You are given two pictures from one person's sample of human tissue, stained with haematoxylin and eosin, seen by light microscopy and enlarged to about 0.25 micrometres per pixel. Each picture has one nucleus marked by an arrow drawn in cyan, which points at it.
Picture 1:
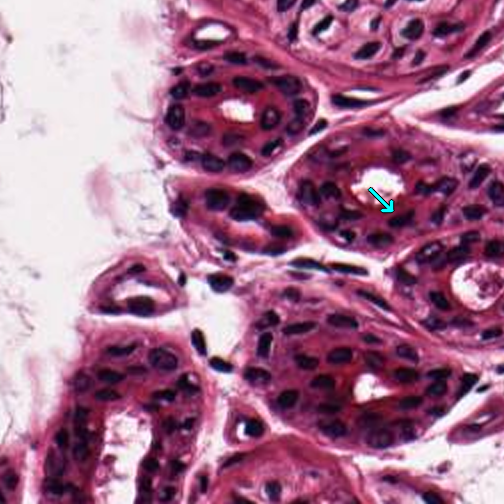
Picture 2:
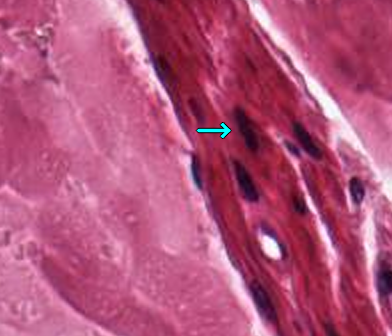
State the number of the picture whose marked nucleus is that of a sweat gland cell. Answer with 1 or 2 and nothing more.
1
